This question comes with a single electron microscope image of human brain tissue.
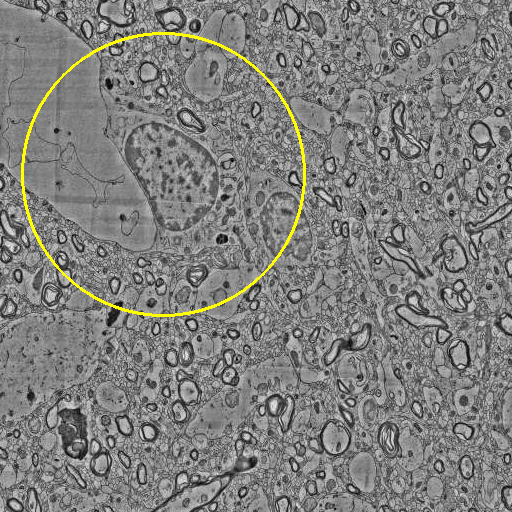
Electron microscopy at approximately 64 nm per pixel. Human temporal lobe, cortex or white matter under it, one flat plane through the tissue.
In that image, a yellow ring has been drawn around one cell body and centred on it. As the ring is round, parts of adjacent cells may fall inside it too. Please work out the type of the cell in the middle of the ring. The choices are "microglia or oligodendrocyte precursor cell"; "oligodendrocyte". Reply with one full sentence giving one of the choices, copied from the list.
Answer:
Of the choices, a microglial cell or oligodendrocyte precursor cell is the cell sitting in the middle of the ring.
